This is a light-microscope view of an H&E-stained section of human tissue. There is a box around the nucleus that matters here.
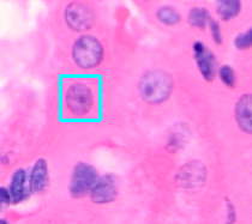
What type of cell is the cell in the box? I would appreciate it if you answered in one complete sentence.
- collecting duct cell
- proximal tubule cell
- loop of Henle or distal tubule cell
As far as its identity is concerned, the cell in the box is a proximal tubule cell.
